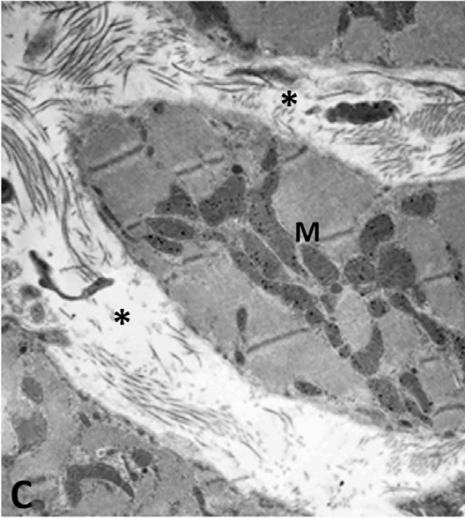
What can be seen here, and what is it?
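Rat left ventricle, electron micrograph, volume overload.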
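Heart muscle cells are seen at high magnification, with myofibrils showing regular dark cross-bands and rows of dark oval to irregular mitochondria lying between them. Some mitochondria look large and dense with dark granules. Between the cells runs a wide pale band holding many fine fibrillar strands and an elongated dark nucleus of an interstitial cell. This broad gap between cardiomyocytes is much wider than a normal thin intercellular cleft, pointing to widening of the intercellular space.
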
